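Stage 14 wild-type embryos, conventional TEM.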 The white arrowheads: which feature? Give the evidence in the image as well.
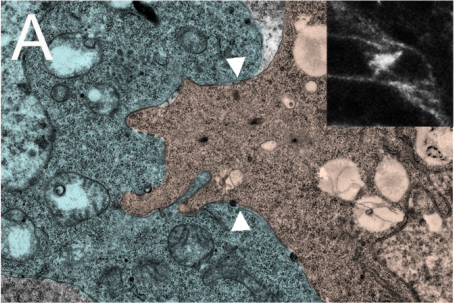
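Broad region of invasion. The orange cell pushes a wide lobe of cytoplasm into the blue cell. The arrowheads sit at the flanks of this wide lobe.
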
